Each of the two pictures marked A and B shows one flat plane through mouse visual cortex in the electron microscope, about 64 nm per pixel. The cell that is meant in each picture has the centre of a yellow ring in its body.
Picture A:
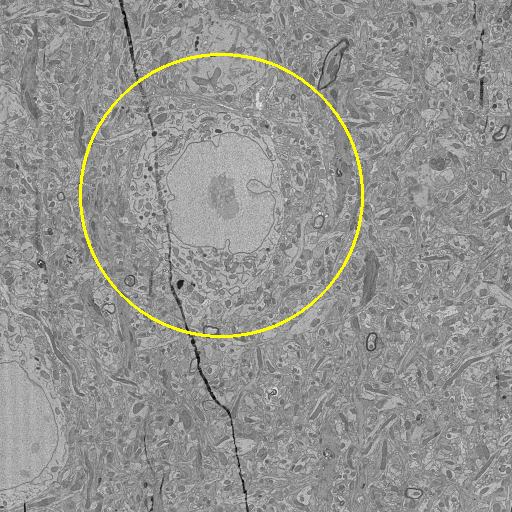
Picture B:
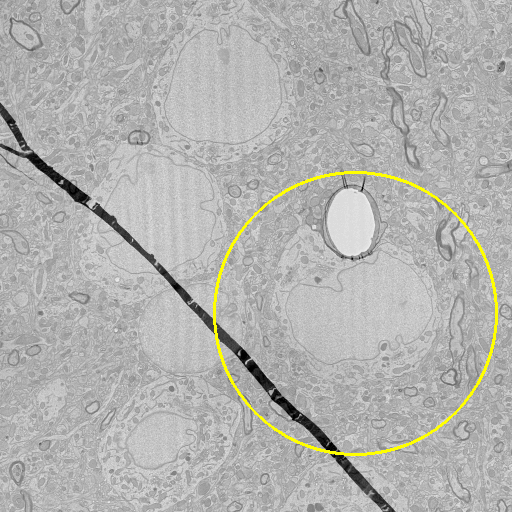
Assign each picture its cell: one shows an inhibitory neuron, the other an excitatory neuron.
Picture A is of an inhibitory neuron, and picture B is of an excitatory neuron.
